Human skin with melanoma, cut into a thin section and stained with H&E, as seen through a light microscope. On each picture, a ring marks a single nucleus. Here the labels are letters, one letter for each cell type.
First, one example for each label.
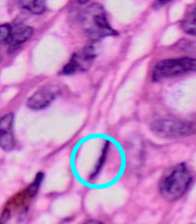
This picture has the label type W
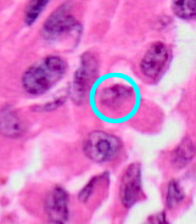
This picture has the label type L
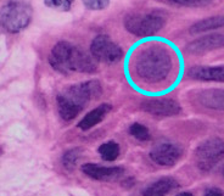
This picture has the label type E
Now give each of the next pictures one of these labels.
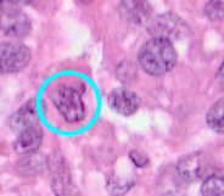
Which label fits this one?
type L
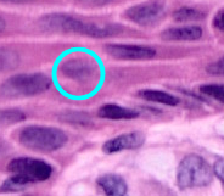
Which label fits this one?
type E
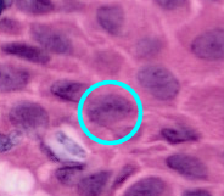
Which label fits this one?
type E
